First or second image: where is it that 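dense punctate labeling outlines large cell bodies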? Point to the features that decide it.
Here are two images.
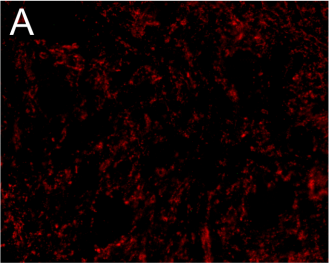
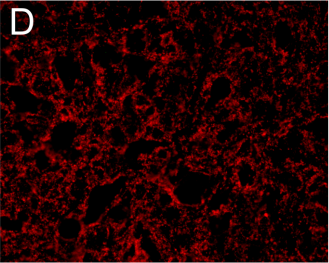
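The second image. Second image: dense red puncta fill the field and rim large dark cell profiles. First image: sparse, faint red puncta with no clearly outlined cell bodies.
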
